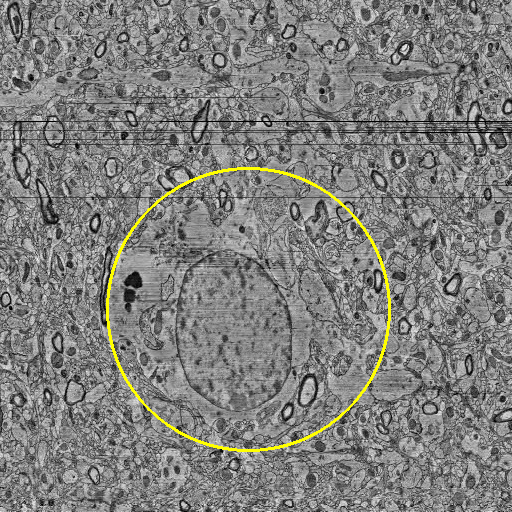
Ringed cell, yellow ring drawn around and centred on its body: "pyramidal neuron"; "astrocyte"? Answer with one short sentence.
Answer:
This ringed cell is an astrocyte.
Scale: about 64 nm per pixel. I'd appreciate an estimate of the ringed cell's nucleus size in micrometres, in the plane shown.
The nucleus has a long axis of about 11 micrometres and a short axis of about 7 micrometres in this plane.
